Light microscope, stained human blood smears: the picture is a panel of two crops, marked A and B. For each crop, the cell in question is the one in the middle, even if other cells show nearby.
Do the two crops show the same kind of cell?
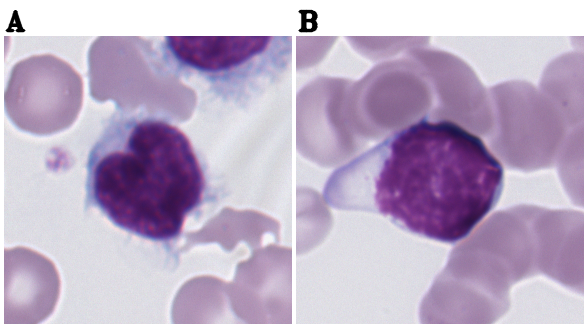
no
